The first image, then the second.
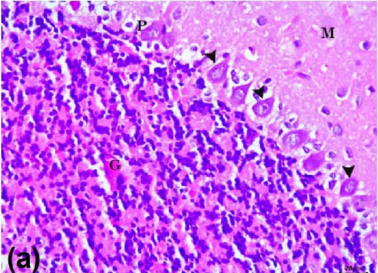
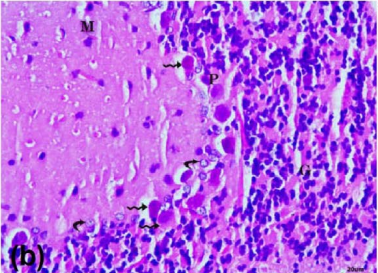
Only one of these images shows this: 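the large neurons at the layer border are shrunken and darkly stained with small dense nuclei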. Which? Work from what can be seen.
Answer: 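The second image. First image: the neurons at the border are large, flask-shaped, with pale rounded nuclei.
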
